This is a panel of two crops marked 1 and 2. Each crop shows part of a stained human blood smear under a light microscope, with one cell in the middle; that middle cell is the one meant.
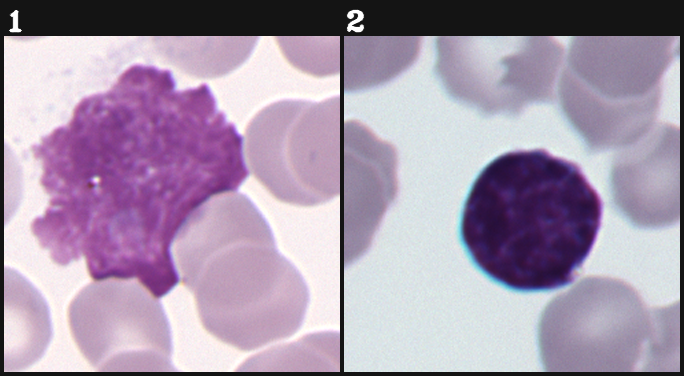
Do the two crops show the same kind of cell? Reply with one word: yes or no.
no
